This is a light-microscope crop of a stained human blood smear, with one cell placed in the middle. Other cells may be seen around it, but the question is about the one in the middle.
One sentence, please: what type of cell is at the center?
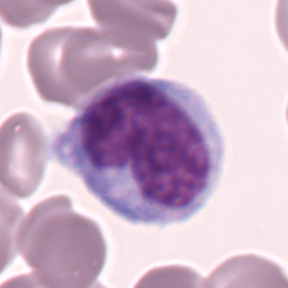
The cell the crop is centered on is a monocyte.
